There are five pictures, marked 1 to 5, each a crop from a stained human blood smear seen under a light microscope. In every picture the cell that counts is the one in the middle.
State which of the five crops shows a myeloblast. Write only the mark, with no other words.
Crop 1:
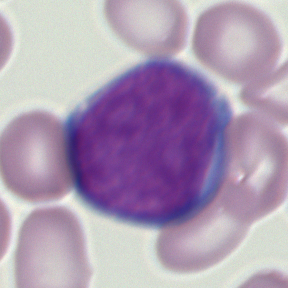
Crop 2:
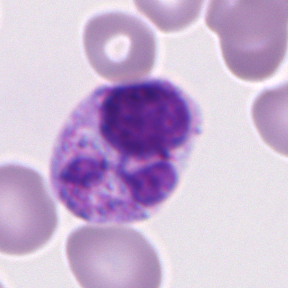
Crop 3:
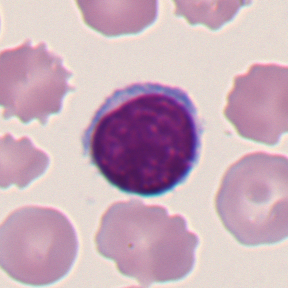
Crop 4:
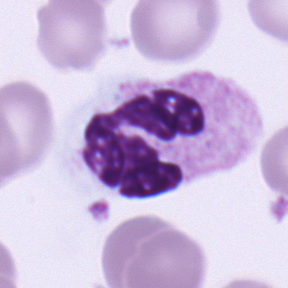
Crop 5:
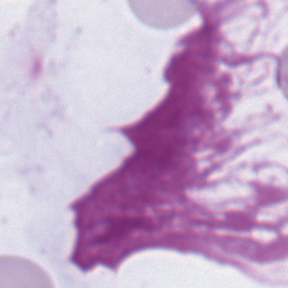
1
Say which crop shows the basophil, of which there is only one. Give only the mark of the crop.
2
